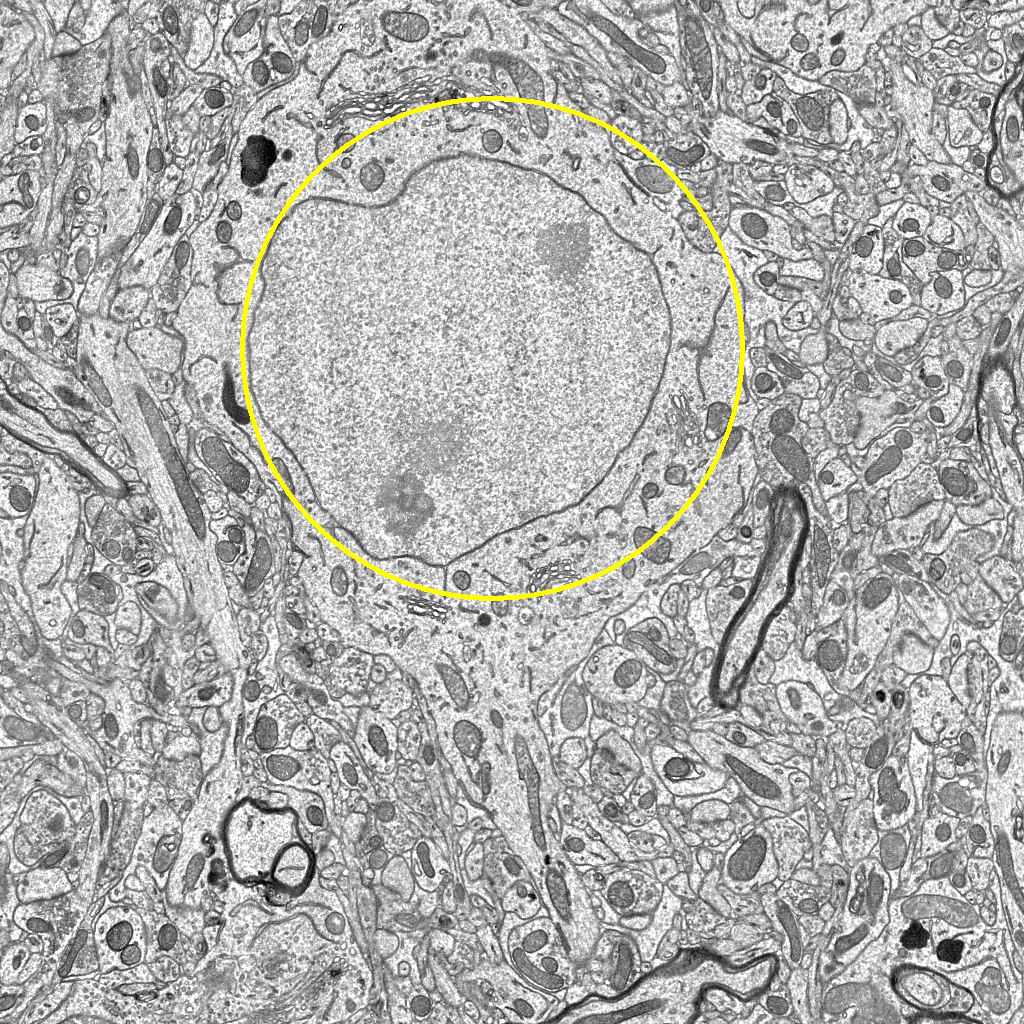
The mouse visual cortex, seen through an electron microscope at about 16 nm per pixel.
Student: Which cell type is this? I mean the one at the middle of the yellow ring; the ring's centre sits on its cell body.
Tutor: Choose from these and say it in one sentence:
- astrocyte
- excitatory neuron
The cell at the ring's centre is an excitatory neuron.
